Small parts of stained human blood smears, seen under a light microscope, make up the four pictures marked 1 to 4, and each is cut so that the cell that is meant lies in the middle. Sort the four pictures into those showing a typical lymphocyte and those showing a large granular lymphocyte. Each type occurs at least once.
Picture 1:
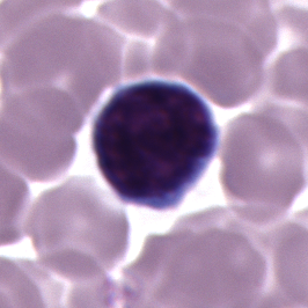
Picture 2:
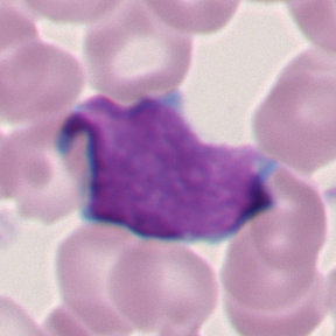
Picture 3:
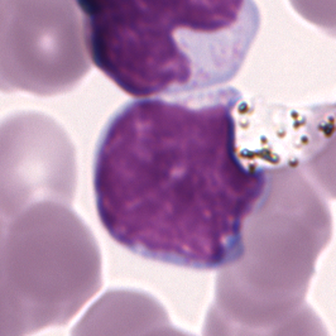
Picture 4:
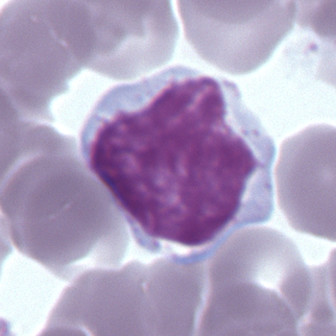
1: typical lymphocyte
2: typical lymphocyte
3: large granular lymphocyte
4: typical lymphocyte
